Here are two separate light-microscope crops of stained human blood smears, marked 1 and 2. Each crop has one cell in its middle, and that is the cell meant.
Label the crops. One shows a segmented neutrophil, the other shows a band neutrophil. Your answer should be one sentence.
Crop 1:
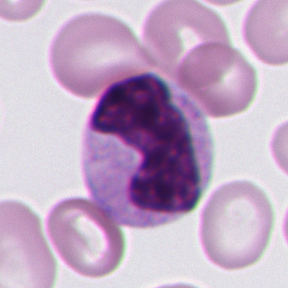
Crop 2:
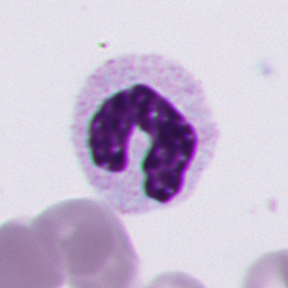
To sum up the two crops, crop 1 is a band neutrophil and crop 2 is a segmented neutrophil.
